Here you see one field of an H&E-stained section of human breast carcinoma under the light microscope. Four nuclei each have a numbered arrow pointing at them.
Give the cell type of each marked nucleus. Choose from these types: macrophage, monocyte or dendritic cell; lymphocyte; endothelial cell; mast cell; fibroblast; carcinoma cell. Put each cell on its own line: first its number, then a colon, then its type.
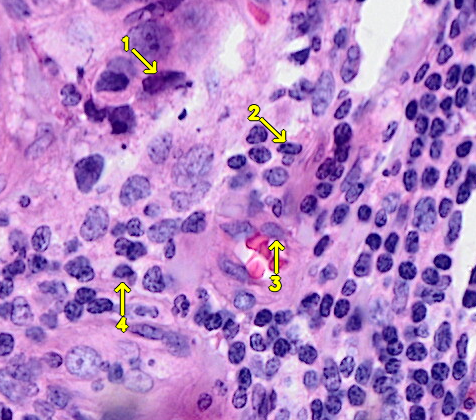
1: carcinoma cell
2: lymphocyte
3: endothelial cell
4: lymphocyte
